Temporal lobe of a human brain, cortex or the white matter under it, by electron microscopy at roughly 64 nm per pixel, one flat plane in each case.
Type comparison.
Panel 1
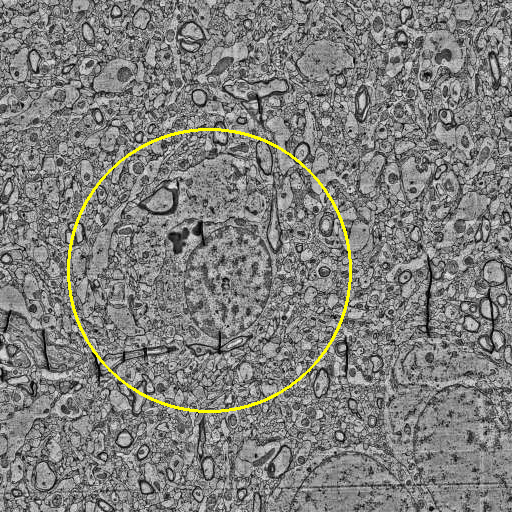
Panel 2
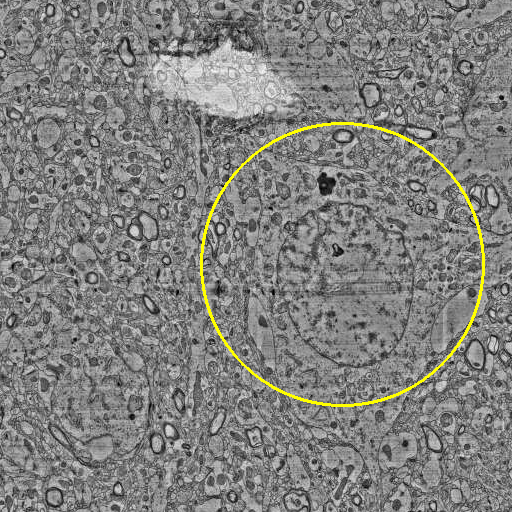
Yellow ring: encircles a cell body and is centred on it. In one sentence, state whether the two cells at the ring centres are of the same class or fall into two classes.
In these panels, the two cells at the ring centres fall into two classes.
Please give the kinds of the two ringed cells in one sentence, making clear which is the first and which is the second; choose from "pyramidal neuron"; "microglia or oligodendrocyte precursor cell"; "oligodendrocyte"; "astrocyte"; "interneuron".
In the second picture the ringed cell is a pyramidal neuron; in the first it is an oligodendrocyte.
